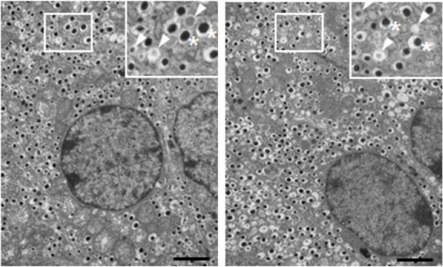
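These are two electron micrographs of pancreatic beta cells, each showing a large round nucleus with scattered dark chromatin. The surrounding cytoplasm is crowded with round secretory granules, many with a dense dark core set inside a pale clear halo. In the magnified insets, granules with compact dark cores (mature) lie beside greyer, less condensed granules (immature).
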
